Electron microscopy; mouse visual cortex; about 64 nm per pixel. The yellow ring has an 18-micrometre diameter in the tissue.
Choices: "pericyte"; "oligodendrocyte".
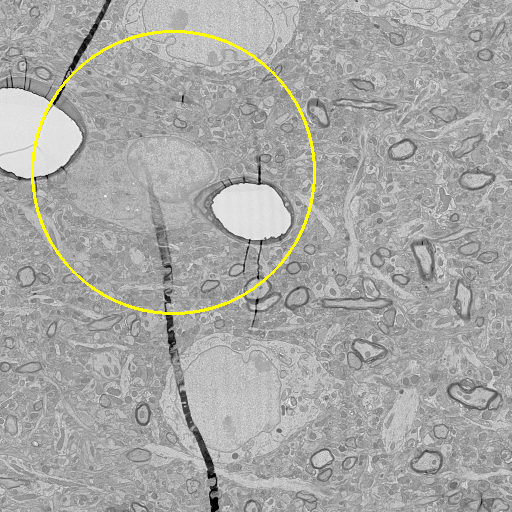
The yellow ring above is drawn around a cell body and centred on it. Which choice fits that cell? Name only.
oligodendrocyte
